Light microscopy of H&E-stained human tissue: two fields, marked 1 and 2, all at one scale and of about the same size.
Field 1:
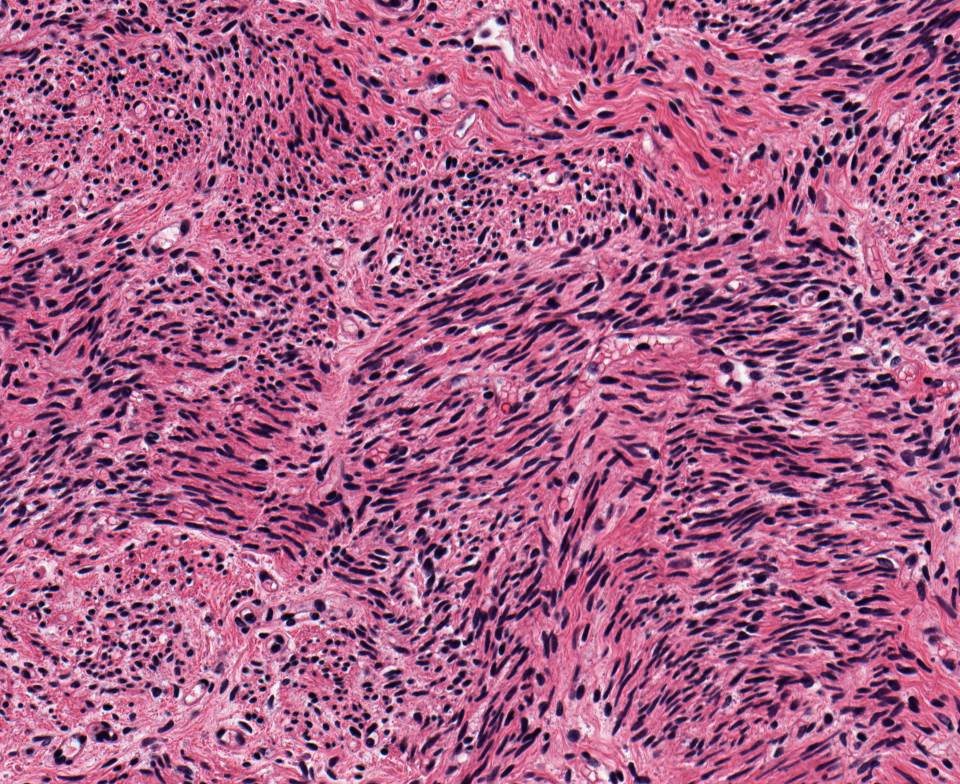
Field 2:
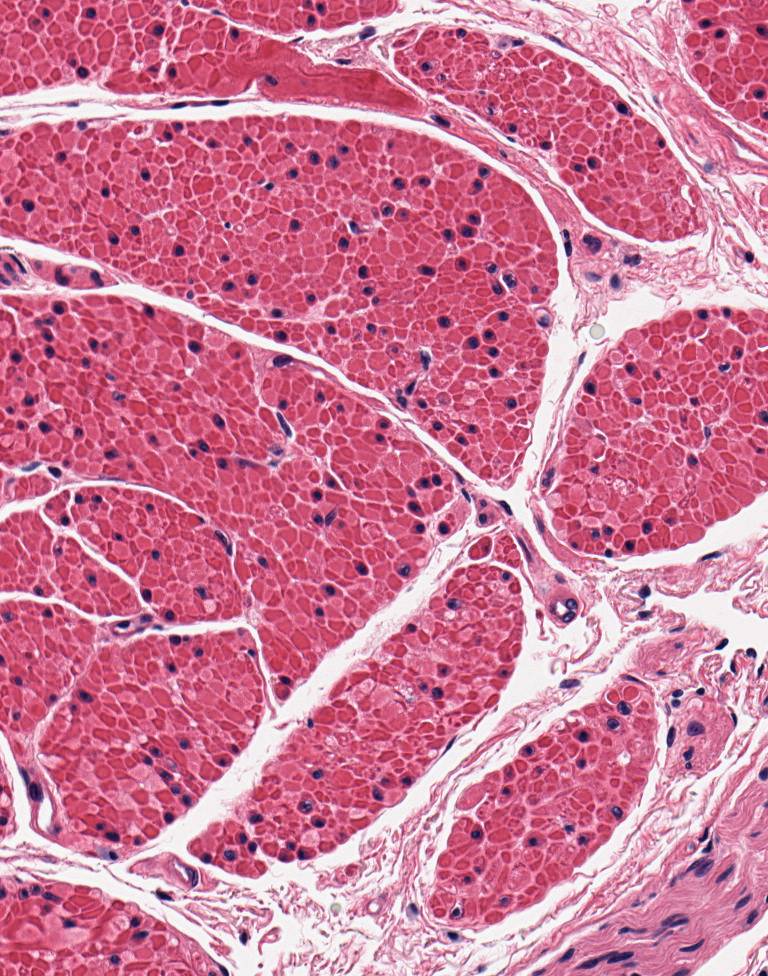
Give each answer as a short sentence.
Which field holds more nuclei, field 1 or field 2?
The larger number of nuclei is in field 1.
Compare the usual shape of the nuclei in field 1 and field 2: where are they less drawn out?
Rounder nuclei lie in field 2.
